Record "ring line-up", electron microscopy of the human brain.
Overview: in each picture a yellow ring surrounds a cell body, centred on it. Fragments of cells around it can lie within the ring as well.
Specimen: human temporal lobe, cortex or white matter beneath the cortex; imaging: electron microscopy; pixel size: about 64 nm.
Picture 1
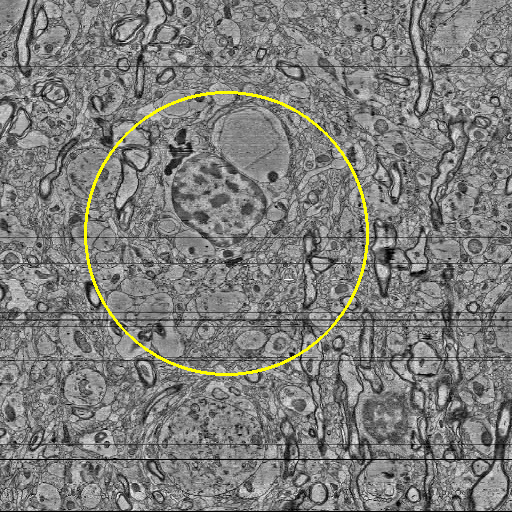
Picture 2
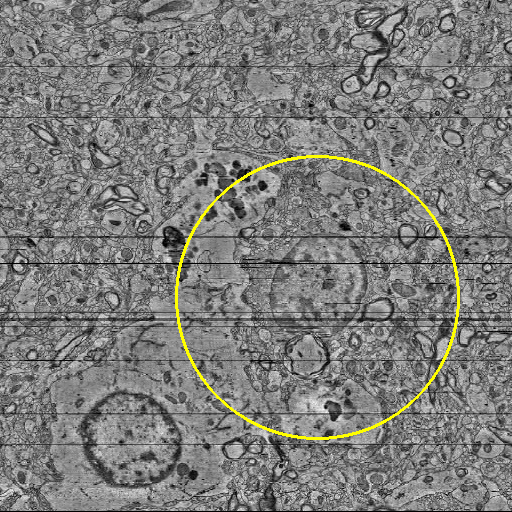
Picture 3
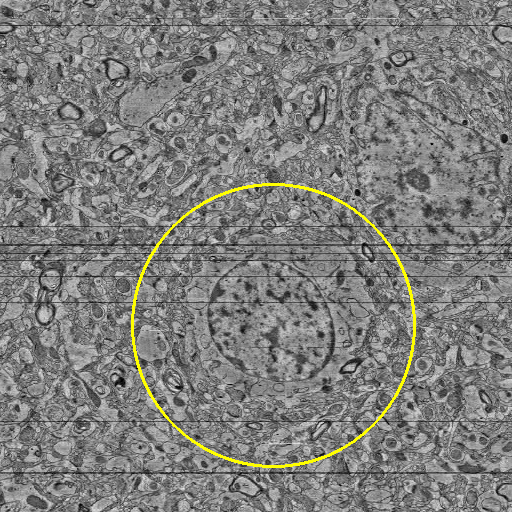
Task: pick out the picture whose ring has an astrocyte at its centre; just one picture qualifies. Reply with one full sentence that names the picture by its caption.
Going by the cell at the ring's centre, the right choice is Picture 3.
